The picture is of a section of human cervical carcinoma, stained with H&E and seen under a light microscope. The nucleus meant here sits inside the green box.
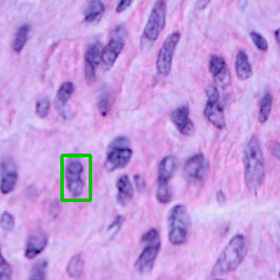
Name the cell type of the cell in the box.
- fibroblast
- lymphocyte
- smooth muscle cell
smooth muscle cell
